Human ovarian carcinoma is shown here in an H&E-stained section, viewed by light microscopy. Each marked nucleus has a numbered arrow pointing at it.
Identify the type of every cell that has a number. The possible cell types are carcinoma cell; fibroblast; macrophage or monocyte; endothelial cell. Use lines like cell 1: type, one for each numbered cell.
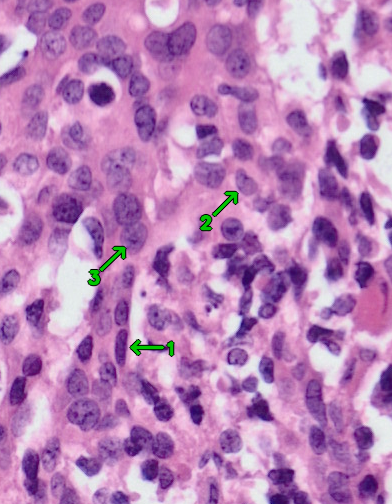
cell 1: carcinoma cell
cell 2: macrophage or monocyte
cell 3: carcinoma cell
